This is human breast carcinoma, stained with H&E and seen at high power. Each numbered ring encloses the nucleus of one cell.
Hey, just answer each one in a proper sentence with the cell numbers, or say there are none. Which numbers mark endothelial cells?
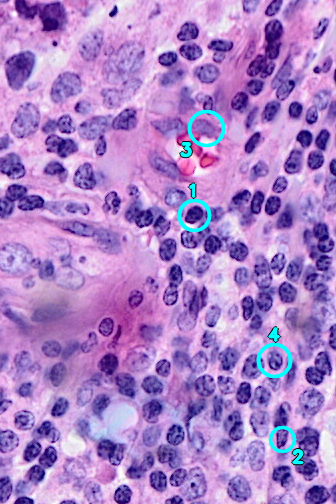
Cell 3 is an endothelial cell, which is true of none of the other numbered cells.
